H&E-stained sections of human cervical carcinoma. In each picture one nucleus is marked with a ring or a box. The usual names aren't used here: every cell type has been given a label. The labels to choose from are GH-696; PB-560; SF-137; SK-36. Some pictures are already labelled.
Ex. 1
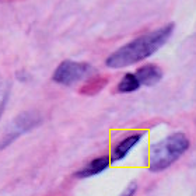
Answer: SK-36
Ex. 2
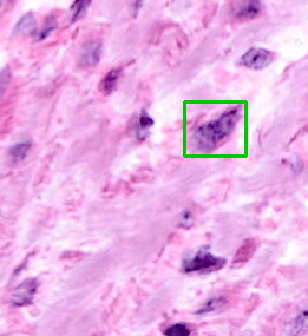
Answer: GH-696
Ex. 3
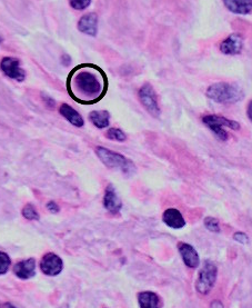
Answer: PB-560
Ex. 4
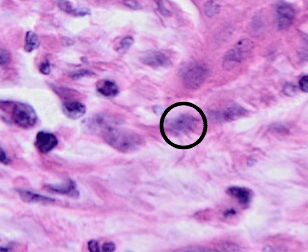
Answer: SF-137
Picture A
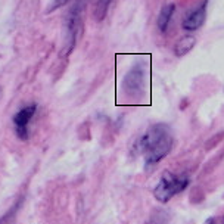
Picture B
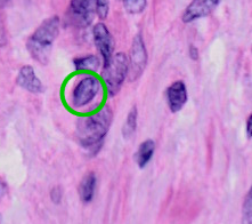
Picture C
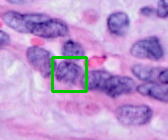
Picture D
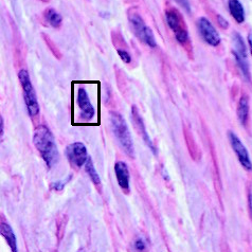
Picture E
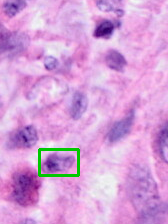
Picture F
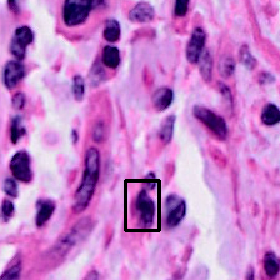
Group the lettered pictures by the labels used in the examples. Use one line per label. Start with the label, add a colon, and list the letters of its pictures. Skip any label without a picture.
GH-696: E
PB-560: D, F
SF-137: A
SK-36: B, C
